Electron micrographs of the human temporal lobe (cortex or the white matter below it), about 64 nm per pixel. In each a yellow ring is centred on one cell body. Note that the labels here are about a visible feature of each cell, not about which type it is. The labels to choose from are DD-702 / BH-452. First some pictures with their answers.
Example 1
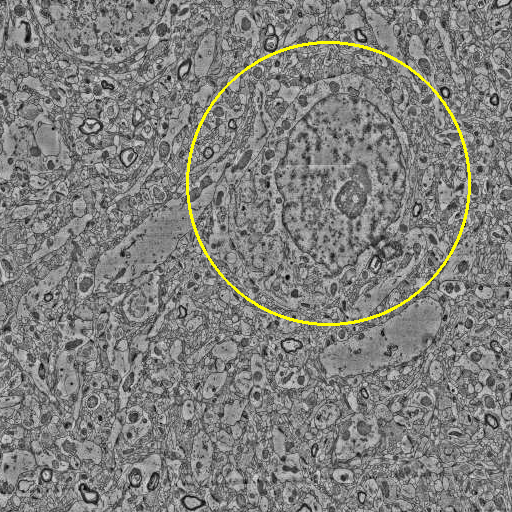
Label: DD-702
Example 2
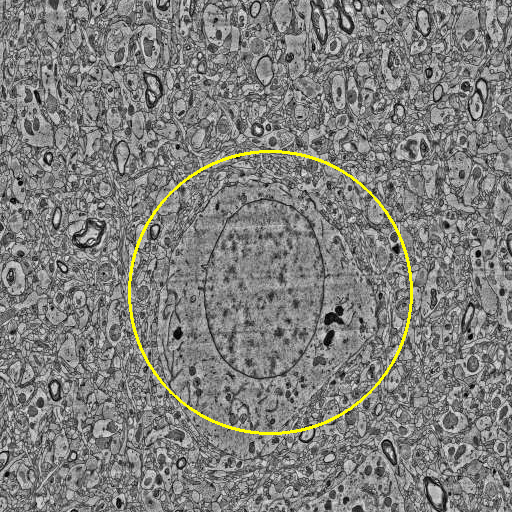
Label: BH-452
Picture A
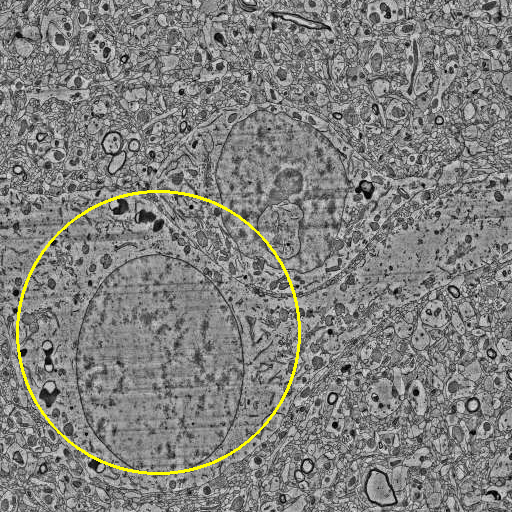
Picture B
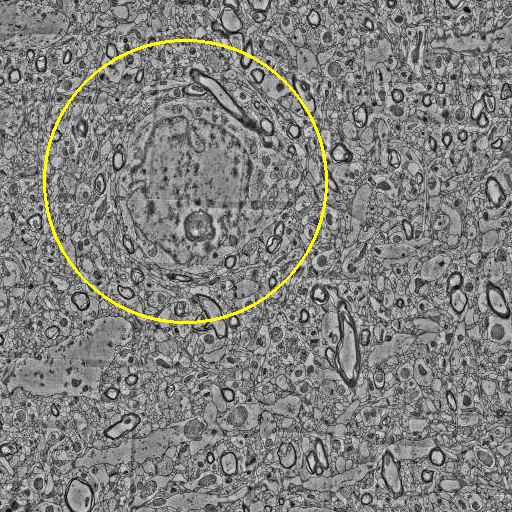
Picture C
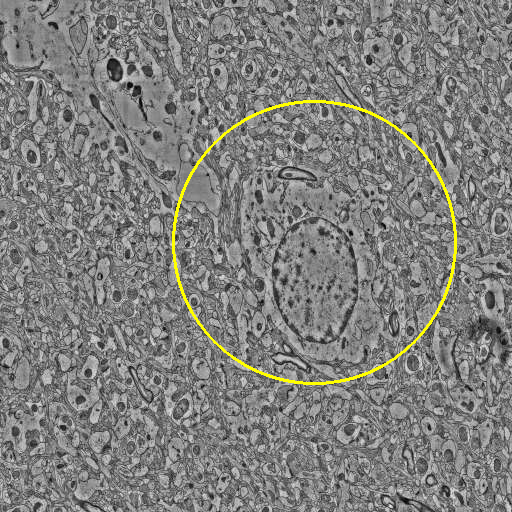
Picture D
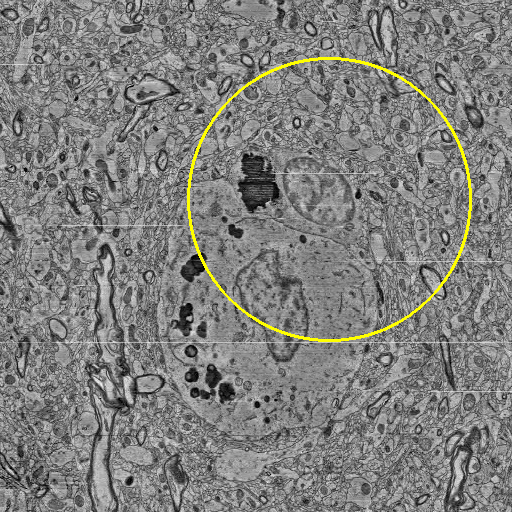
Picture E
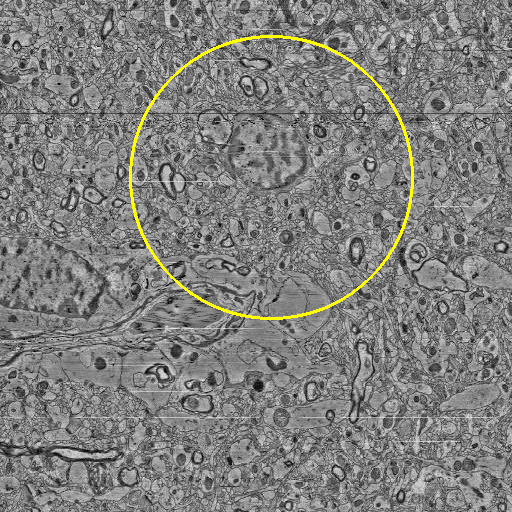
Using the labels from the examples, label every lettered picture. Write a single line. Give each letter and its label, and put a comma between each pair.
A BH-452, B DD-702, C BH-452, D BH-452, E BH-452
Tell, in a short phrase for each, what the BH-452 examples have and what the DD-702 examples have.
In BH-452: no nucleolus seen. In DD-702: nucleolus seen.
